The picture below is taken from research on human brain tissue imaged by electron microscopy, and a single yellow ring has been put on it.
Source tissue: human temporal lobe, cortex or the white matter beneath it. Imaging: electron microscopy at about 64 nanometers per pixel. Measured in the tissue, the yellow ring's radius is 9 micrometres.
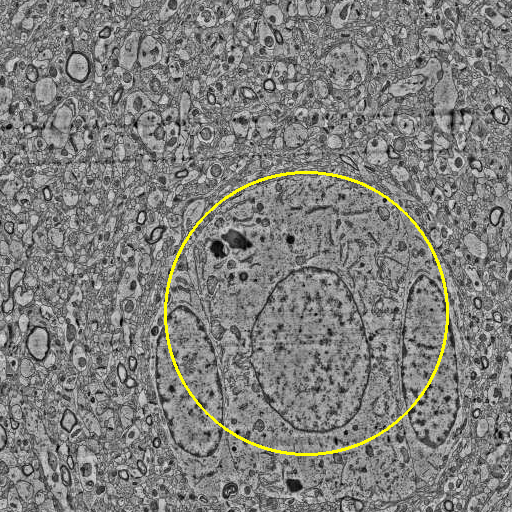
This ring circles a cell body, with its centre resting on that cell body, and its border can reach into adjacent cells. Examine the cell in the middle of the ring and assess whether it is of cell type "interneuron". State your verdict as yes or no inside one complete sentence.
No, in the picture, the cell lying at the centre of the ring is of a different type.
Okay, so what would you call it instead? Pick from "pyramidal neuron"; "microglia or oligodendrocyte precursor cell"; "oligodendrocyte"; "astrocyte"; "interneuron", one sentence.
The cell this ring marks is a pyramidal neuron.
